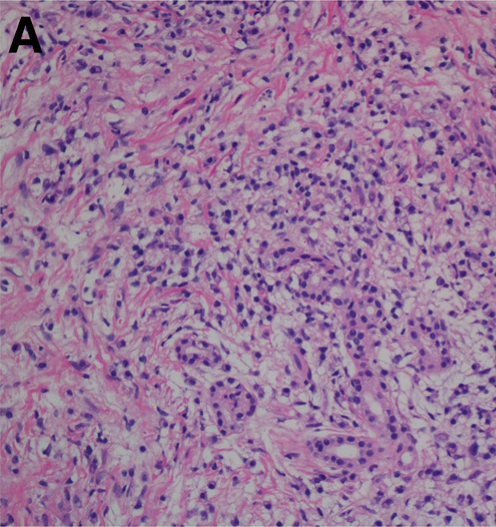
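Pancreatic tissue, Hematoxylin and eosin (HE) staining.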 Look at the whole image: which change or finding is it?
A: dense lymphoplasmacytic infiltration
